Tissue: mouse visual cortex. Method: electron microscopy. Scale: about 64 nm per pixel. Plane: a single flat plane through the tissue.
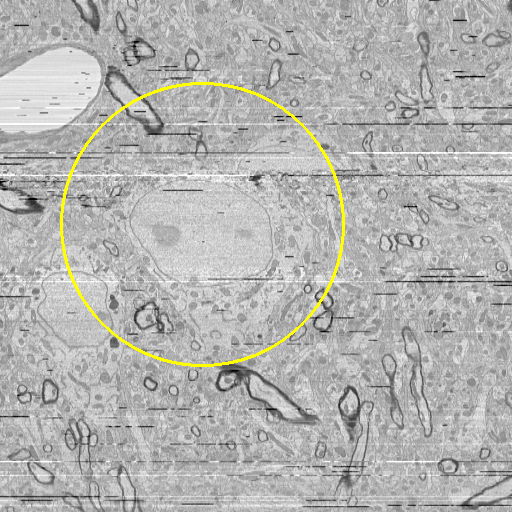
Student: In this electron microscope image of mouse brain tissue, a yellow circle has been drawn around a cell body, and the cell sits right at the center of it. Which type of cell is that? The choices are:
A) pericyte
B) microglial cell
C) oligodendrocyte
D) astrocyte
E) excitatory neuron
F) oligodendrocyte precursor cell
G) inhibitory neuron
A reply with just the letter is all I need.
E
